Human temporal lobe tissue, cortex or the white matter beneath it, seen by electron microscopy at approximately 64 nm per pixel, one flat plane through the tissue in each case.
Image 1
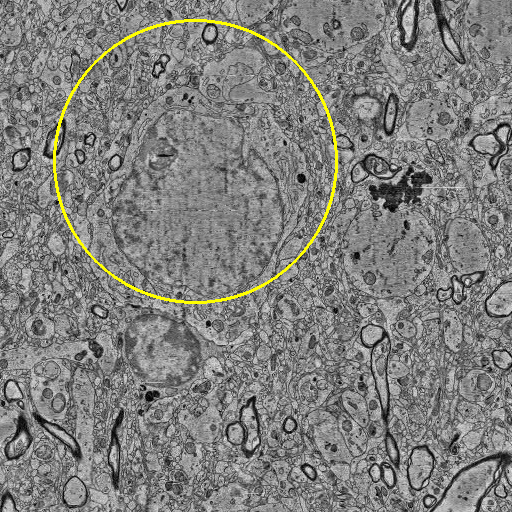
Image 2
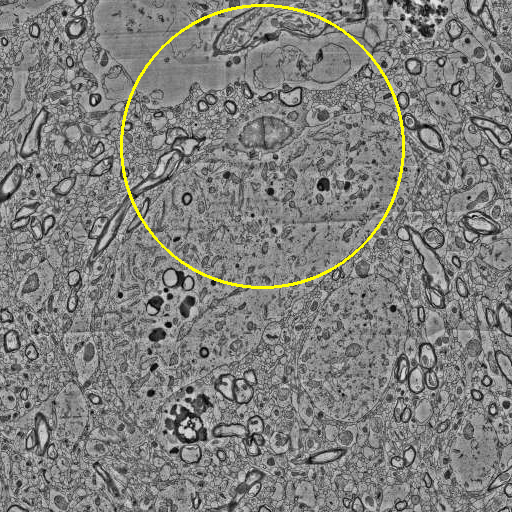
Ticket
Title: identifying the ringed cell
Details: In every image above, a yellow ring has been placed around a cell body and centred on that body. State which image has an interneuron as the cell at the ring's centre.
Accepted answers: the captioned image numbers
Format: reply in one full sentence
The ring in image 1 is centred on the cell in question.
